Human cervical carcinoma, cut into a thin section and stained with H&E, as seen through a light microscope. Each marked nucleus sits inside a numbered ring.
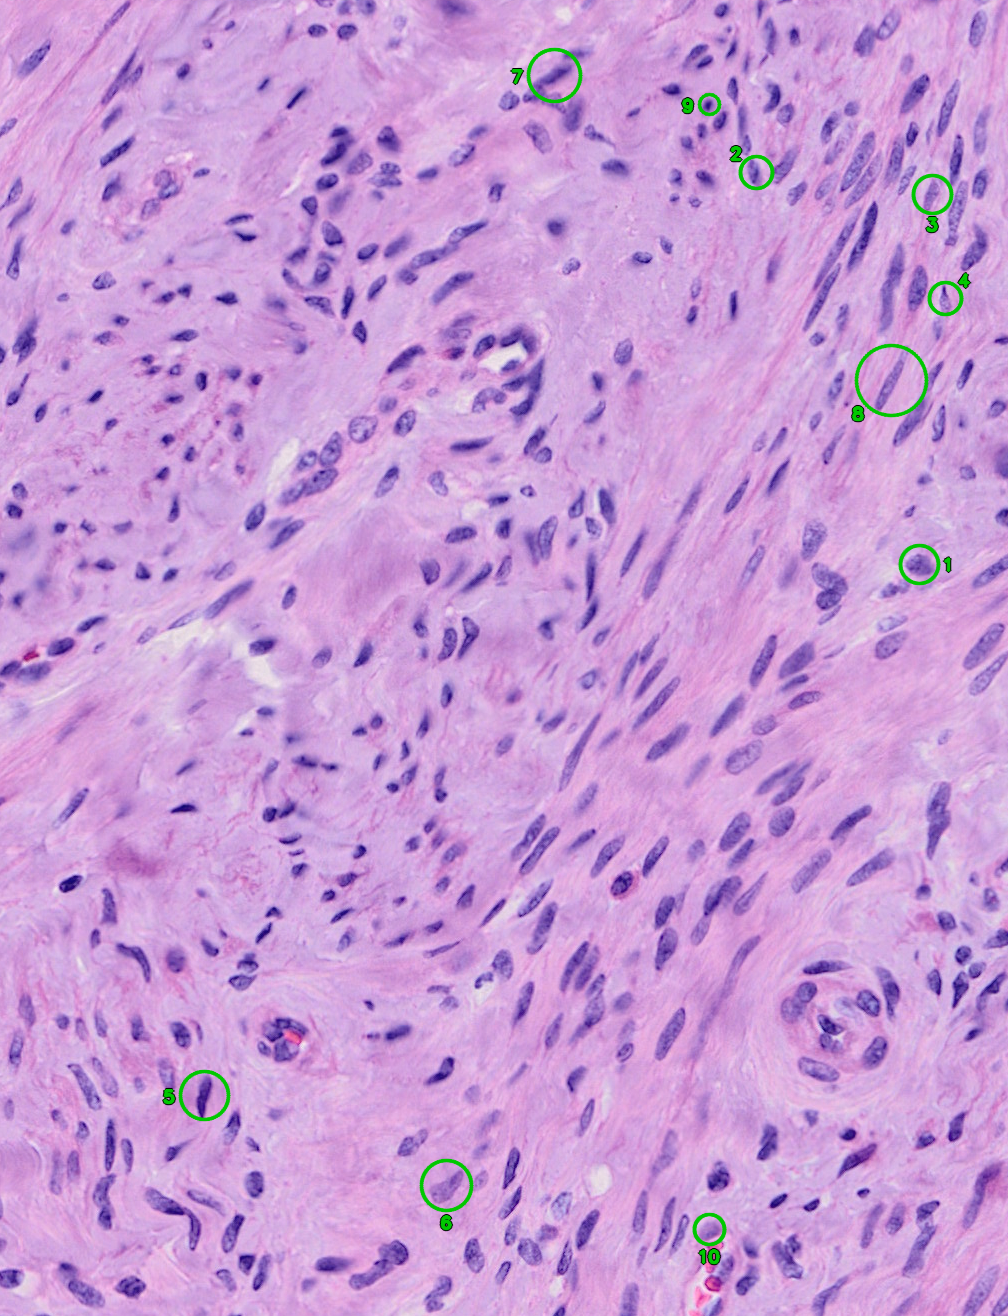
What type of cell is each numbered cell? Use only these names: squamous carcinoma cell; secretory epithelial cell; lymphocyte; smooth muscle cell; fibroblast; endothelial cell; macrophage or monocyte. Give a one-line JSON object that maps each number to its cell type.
{"1": "fibroblast", "2": "fibroblast", "3": "smooth muscle cell", "4": "smooth muscle cell", "5": "fibroblast", "6": "fibroblast", "7": "fibroblast", "8": "smooth muscle cell", "9": "fibroblast", "10": "endothelial cell"}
